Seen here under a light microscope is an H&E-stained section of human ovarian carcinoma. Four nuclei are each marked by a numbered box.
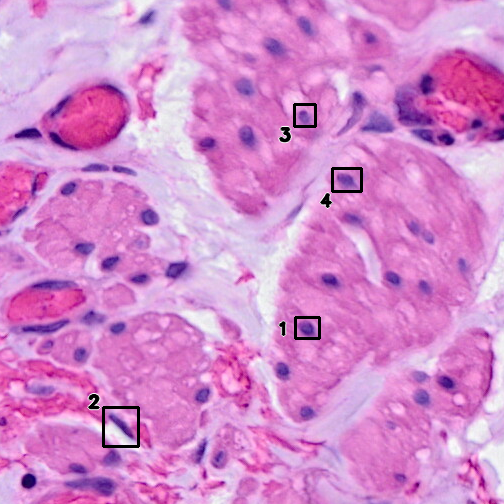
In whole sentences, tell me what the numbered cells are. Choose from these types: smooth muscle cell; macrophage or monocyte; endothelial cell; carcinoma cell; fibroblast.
Cell 1 is a smooth muscle cell, cell 2 is an endothelial cell, cell 3 is a smooth muscle cell and cell 4 is a smooth muscle cell.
